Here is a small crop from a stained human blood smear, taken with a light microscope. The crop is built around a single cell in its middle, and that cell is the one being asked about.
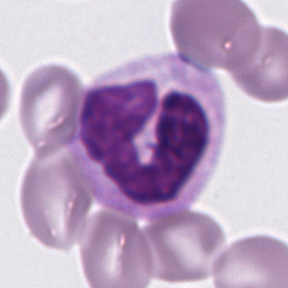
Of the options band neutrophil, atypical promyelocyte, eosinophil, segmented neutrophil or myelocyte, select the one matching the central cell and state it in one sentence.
Centred in the crop is a band neutrophil.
